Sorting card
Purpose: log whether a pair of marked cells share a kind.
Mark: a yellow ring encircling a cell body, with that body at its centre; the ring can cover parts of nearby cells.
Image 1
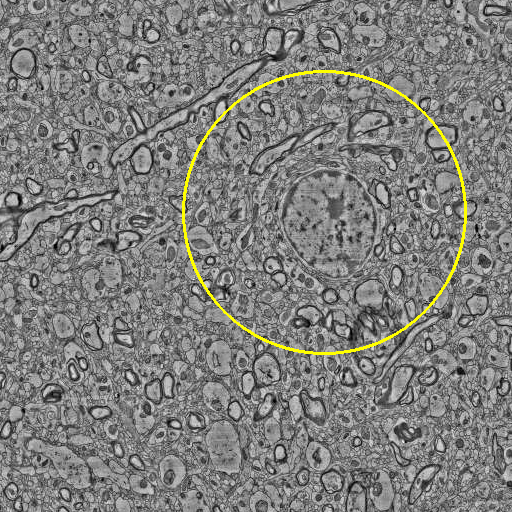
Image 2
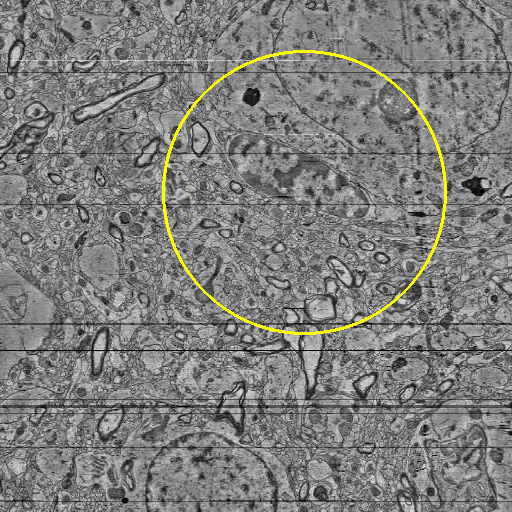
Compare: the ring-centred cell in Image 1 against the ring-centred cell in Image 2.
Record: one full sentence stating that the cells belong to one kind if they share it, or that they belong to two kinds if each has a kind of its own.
Across Images 1 and 2, the two ring-centred cells belong to one kind.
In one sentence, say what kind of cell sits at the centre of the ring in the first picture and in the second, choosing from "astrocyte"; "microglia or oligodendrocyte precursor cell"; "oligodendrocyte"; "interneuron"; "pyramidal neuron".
Each of the two rings surrounds a microglial cell or oligodendrocyte precursor cell.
